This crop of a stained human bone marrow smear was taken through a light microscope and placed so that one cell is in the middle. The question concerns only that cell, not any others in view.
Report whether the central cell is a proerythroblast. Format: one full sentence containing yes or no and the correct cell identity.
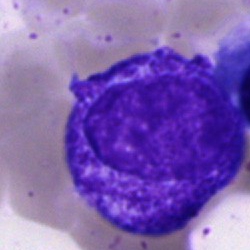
No, the cell in the centre of the crop is a promyelocyte as opposed to a proerythroblast.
